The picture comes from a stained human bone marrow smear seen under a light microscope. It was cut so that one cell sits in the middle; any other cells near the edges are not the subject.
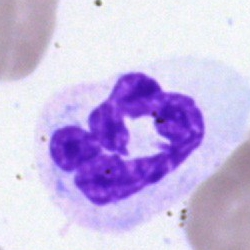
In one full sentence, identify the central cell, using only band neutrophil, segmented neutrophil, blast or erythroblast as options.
The cell at the heart of this crop is a segmented neutrophil.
